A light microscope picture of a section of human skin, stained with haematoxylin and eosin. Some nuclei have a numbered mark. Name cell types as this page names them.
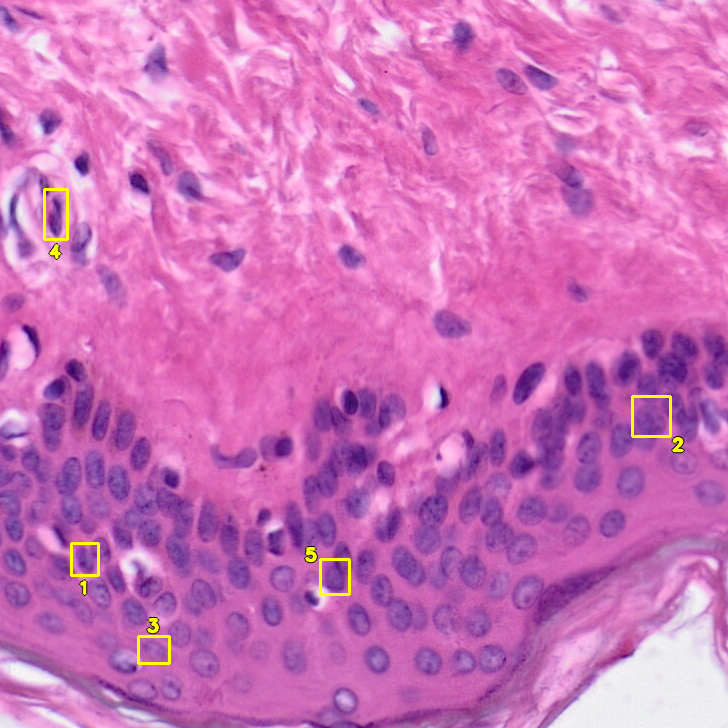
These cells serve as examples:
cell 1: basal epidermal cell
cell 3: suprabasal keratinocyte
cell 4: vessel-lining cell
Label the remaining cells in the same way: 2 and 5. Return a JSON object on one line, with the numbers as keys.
{"2": "suprabasal keratinocyte", "5": "basal epidermal cell"}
